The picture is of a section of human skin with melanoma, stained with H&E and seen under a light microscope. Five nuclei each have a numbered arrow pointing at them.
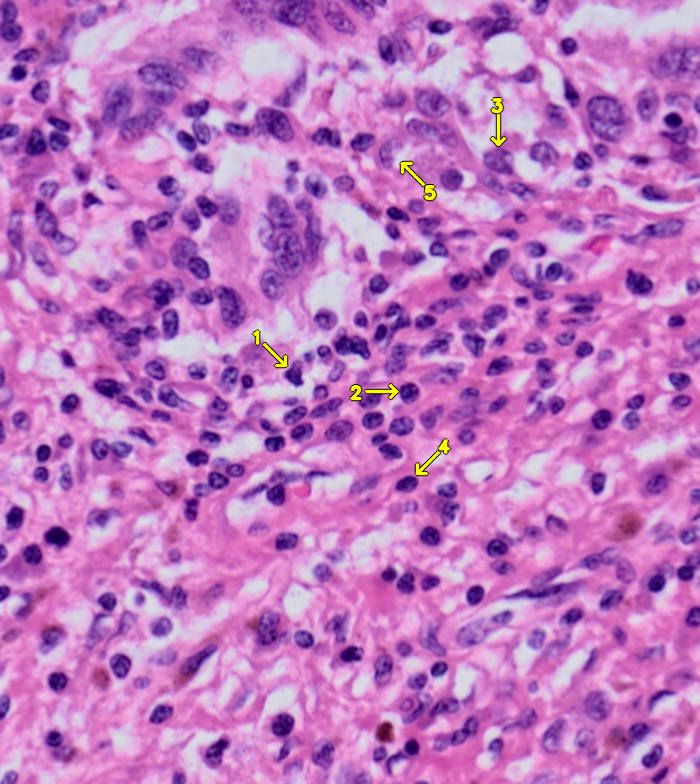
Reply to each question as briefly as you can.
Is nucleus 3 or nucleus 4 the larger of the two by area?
3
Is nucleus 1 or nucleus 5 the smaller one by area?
1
